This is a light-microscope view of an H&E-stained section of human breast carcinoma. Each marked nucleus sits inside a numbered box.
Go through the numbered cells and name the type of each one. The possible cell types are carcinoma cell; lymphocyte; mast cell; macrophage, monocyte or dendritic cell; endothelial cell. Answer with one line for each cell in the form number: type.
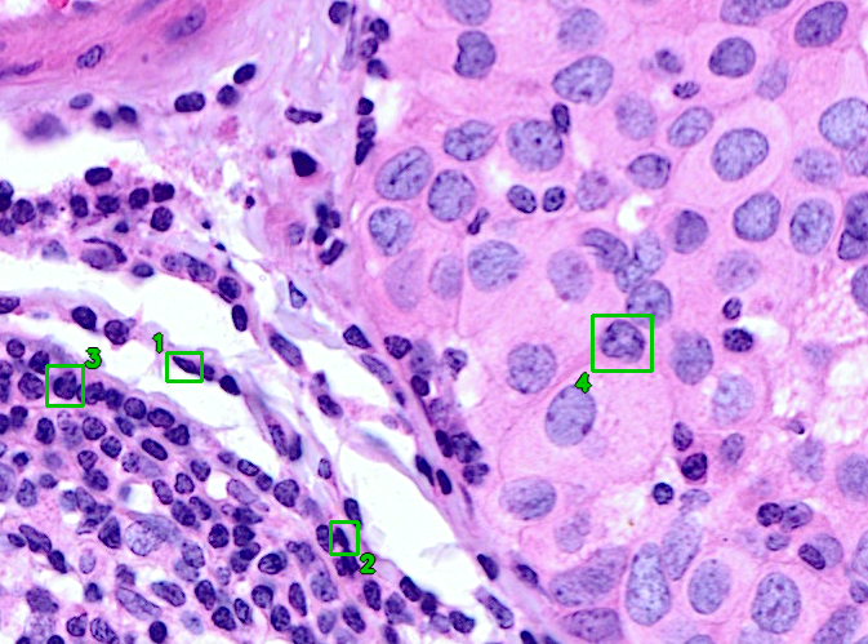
1: lymphocyte
2: lymphocyte
3: lymphocyte
4: carcinoma cell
